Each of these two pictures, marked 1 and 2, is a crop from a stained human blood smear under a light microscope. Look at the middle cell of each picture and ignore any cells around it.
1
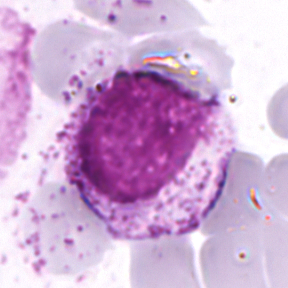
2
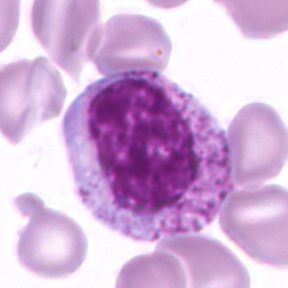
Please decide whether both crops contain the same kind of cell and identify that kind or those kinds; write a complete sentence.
Yes, the same answer goes for both crops, namely myelocytes.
